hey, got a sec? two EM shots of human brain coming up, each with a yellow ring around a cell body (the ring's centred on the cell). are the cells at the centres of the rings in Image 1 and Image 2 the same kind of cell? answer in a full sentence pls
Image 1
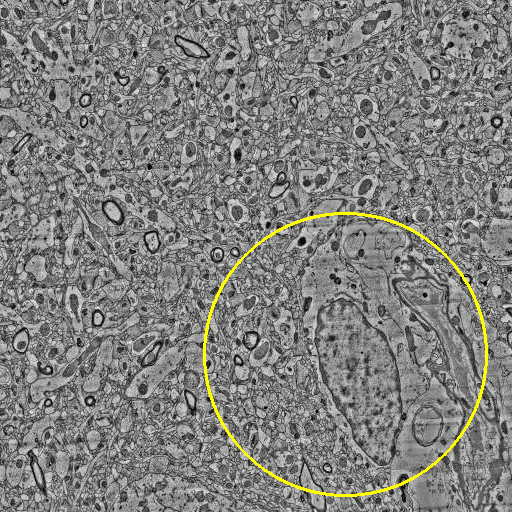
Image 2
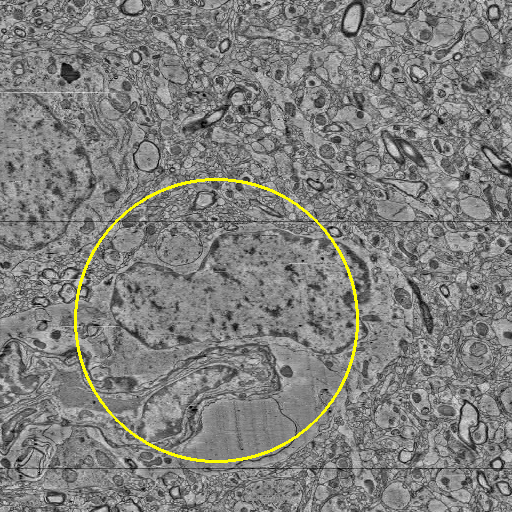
Yes, both are the same kind of cell.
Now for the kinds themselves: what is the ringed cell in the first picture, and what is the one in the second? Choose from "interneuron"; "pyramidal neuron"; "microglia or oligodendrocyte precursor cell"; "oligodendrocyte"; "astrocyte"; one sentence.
The cell in the first picture is a microglial cell or oligodendrocyte precursor cell, and so is the one in the second.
